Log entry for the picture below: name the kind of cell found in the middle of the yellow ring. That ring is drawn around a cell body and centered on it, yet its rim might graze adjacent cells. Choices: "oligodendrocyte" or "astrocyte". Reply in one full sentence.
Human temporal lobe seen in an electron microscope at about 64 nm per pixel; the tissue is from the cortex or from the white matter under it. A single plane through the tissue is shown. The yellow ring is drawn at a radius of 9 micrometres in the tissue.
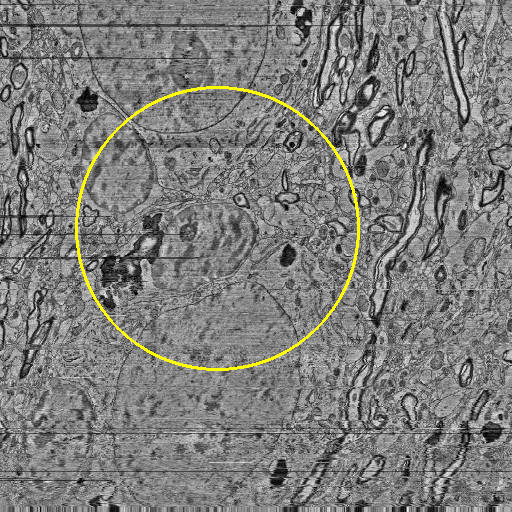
The cell in the middle of the yellow ring in this picture is an oligodendrocyte.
